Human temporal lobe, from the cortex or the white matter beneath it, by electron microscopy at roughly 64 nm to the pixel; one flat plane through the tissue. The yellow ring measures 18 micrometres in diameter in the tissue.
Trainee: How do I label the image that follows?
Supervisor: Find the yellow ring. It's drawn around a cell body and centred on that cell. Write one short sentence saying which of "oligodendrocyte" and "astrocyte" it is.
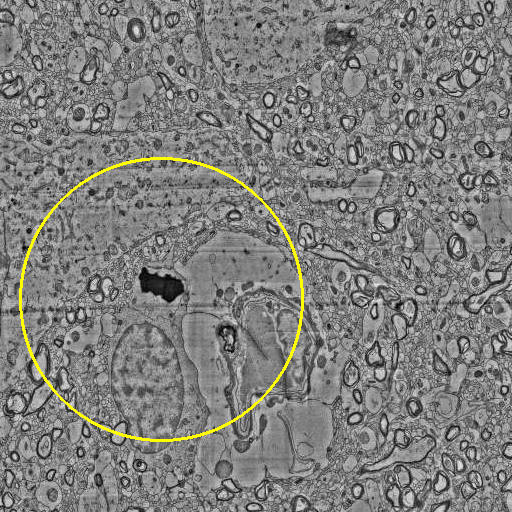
This is the cell body of an oligodendrocyte.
